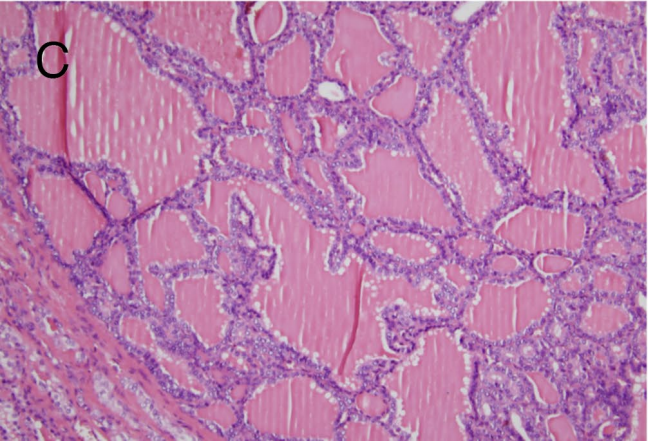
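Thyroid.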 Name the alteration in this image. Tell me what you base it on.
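Macrofollicular pattern. Large follicles filled with abundant pink colloid. Thin strands of follicular cells separate the colloid-filled spaces.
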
